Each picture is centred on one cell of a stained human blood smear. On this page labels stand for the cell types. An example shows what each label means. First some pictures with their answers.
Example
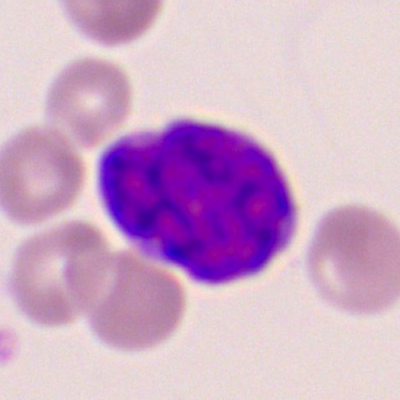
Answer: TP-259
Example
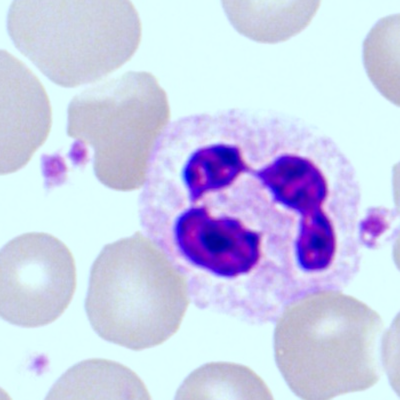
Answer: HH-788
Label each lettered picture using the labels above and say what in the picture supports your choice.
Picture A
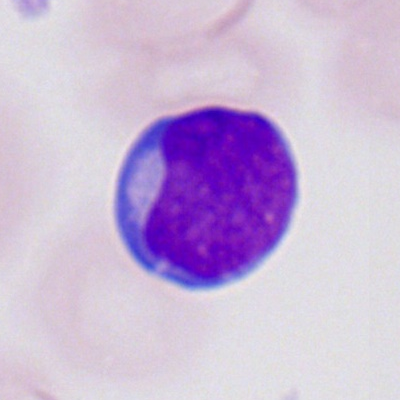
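Answer: TP-259. The cytoplasm is deep blue.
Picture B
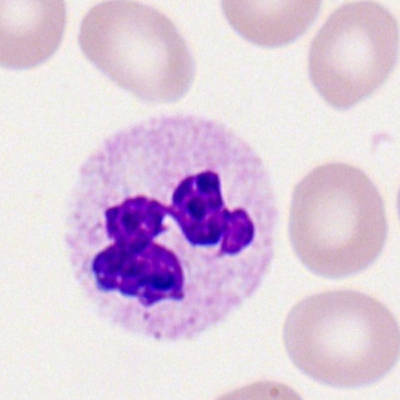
Answer: HH-788. The cytoplasm is abundant and pale pinkish-lilac.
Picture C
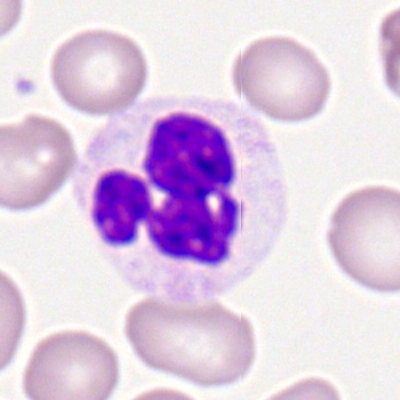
Answer: HH-788. The cytoplasm is plentiful and pale pink.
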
